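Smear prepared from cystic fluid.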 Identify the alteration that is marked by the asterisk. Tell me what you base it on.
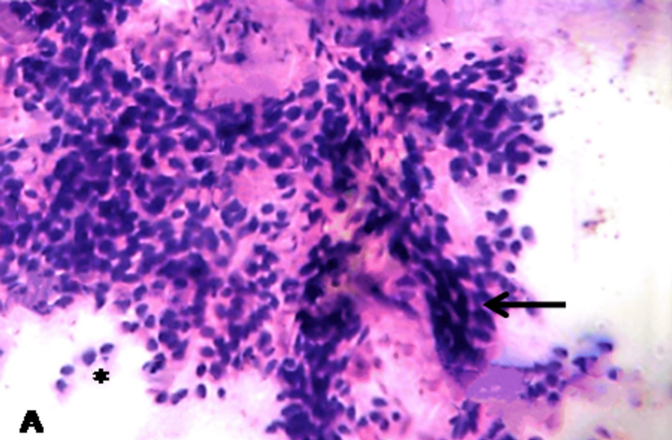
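Next to the asterisk a few cells lie singly, apart from the main cluster. The background there is pale and empty between the loose cells. That points to this answer: discohesion.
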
